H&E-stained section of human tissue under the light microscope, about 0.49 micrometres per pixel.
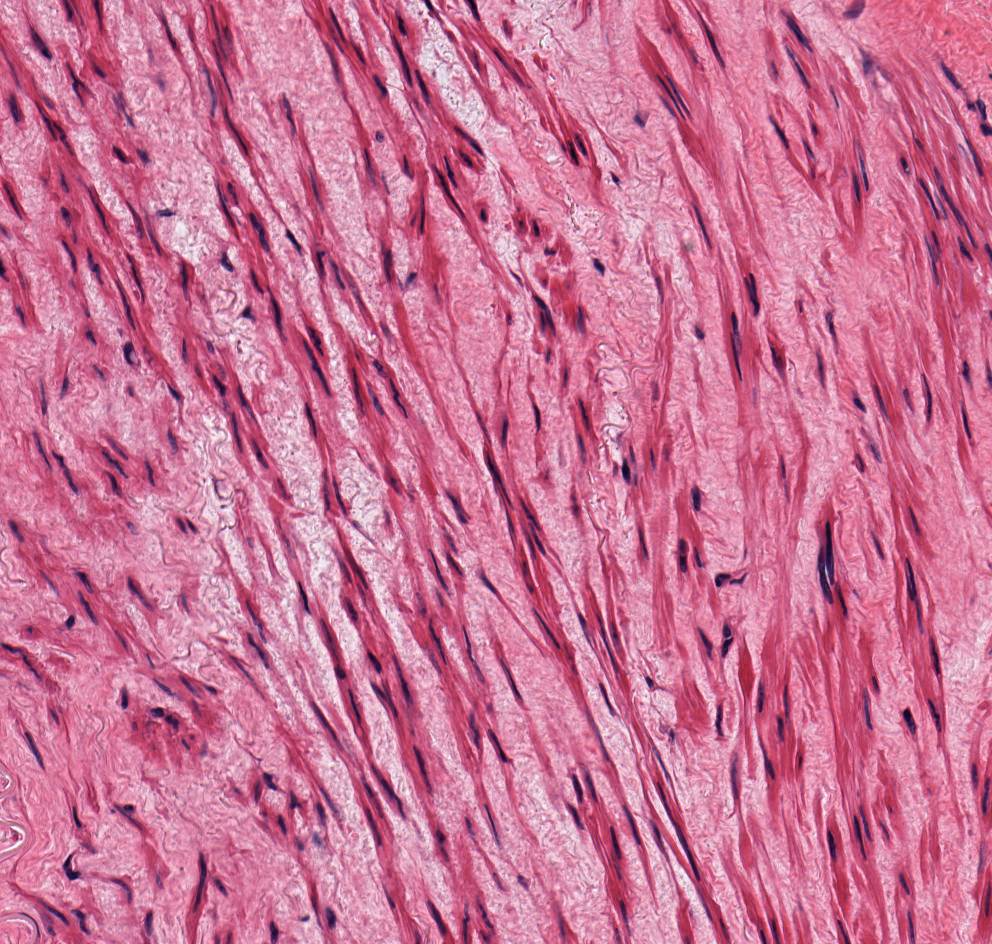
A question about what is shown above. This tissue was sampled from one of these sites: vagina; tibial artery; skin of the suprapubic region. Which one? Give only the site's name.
tibial artery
